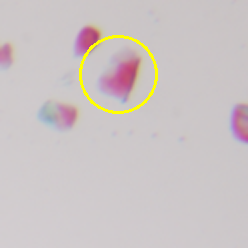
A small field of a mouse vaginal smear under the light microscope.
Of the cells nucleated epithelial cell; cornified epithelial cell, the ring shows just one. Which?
The ring shows a cornified epithelial cell.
